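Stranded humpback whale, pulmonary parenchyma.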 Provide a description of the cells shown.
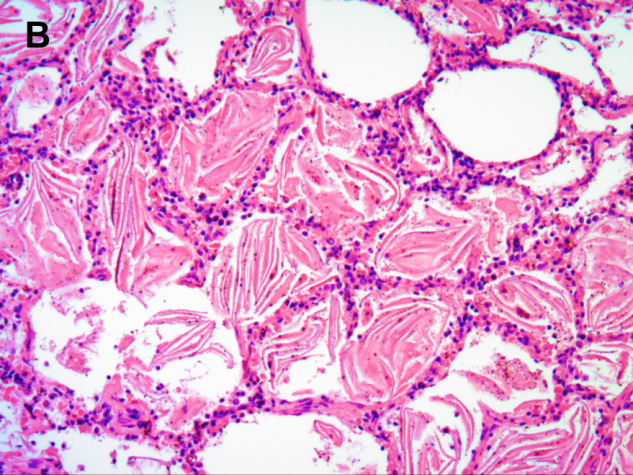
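This is lung tissue in which many of the air spaces are packed with keratin squames. The squames are pale pink, flat, layered flakes that fold and overlap, and they carry no nuclei. They fill the lumens of the alveoli, which are bounded by thin septa. The septa are lined with dark purple nuclei. Some alveoli are empty and appear as clear white spaces, while others hold only a few loose flakes.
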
